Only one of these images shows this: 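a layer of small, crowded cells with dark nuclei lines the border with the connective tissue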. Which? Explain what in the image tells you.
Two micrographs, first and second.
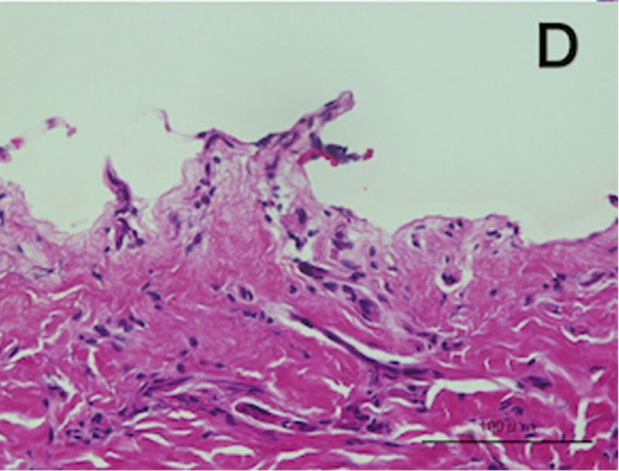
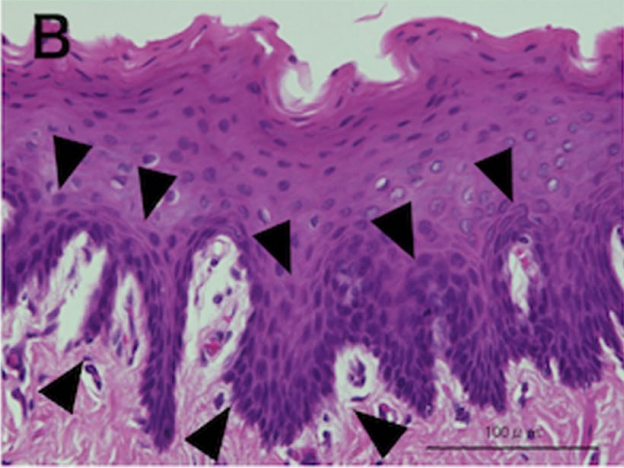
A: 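First image: pink fibrous tissue with only scattered cells, no dense dark-nuclear cell layer. Second image: a dense band of small cells with dark purple nuclei rests along the ridges bordering the pink connective tissue.
Answer: the second image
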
